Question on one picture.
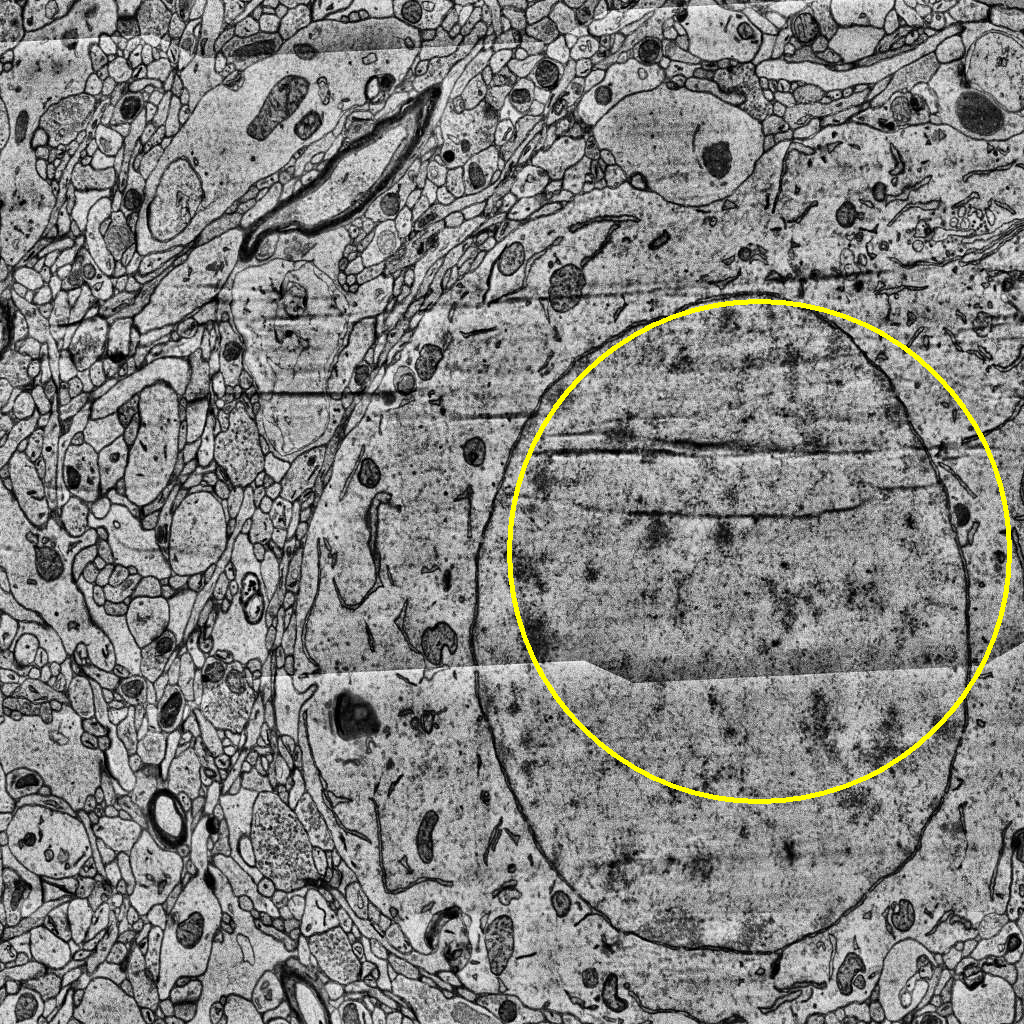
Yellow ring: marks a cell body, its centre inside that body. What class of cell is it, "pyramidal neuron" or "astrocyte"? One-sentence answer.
This is a pyramidal neuron, the cell at the ring's centre.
